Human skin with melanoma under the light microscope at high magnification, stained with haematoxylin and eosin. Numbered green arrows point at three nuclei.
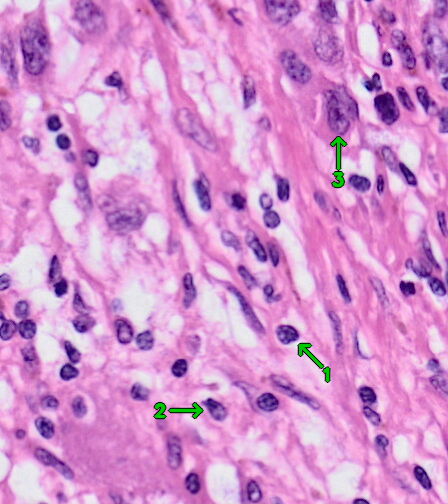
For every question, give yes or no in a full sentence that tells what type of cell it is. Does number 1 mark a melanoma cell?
No, it is a lymphocyte that is marked with number 1, not a melanoma cell.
